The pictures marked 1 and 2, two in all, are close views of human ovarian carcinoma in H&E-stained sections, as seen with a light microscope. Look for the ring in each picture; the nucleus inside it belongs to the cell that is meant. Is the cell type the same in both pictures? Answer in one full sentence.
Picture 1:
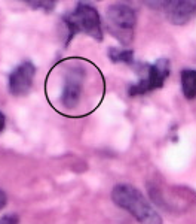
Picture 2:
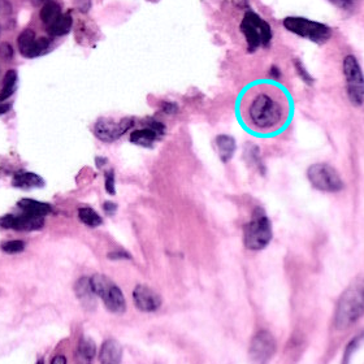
Yes, both are “macrophages or monocytes”.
